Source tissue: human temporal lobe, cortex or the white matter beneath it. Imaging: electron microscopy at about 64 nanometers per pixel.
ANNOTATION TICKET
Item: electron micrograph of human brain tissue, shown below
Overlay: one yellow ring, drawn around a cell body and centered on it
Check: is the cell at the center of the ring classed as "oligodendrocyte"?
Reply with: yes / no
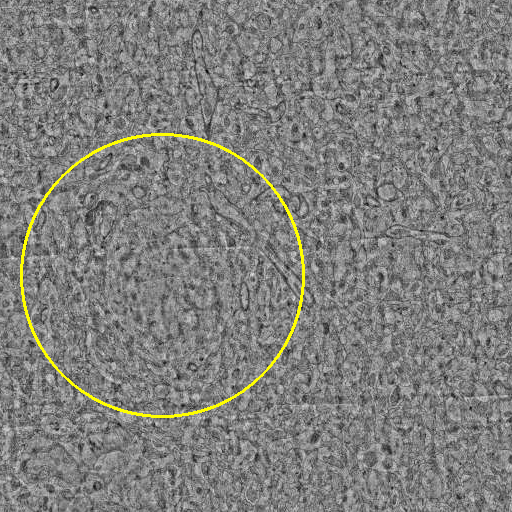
no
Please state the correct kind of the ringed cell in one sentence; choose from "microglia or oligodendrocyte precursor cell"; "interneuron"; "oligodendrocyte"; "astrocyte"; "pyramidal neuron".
Instead, the cell inside the ring is an interneuron.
